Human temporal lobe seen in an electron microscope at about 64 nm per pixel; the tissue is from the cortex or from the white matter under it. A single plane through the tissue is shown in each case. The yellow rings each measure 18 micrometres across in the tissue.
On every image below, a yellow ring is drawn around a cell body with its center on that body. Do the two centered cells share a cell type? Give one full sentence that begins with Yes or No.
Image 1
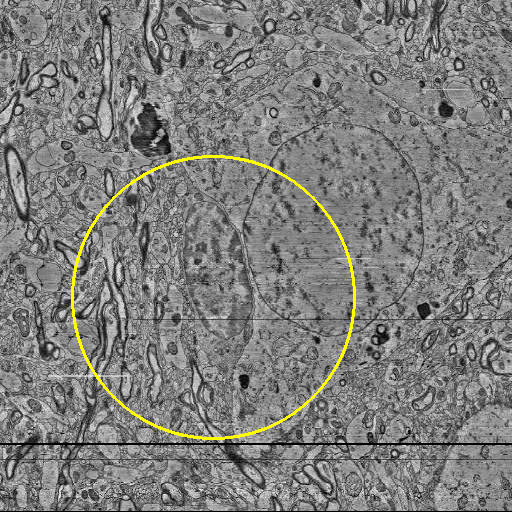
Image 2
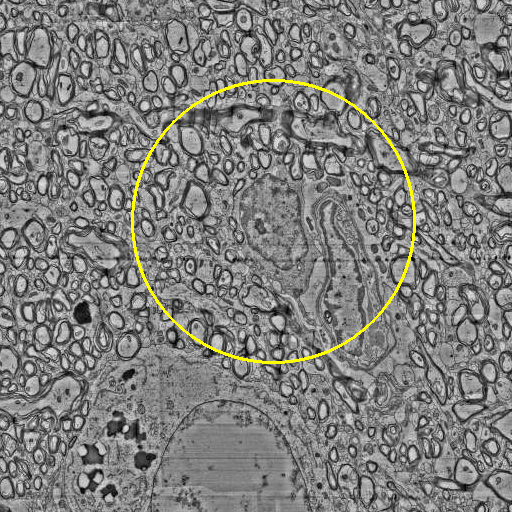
Yes, the centered cells in the two images are of a single cell type.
